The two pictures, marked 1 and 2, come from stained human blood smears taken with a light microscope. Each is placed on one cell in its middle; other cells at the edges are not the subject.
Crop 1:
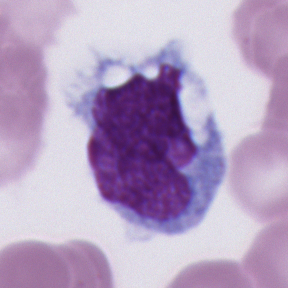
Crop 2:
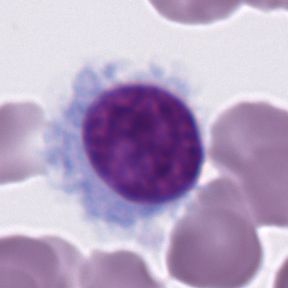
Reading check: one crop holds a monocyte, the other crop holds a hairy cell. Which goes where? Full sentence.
Crop 1 is a monocyte, with crop 2 being a hairy cell.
